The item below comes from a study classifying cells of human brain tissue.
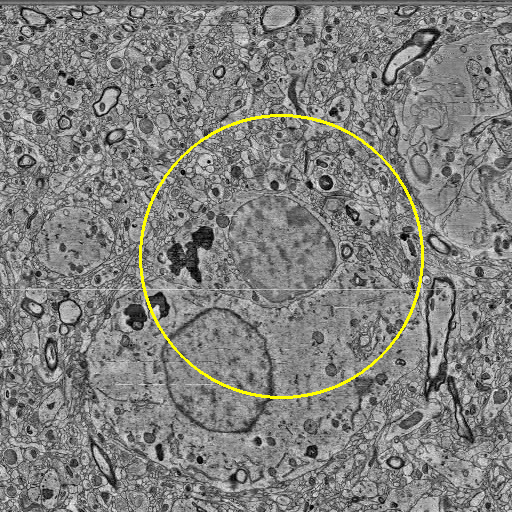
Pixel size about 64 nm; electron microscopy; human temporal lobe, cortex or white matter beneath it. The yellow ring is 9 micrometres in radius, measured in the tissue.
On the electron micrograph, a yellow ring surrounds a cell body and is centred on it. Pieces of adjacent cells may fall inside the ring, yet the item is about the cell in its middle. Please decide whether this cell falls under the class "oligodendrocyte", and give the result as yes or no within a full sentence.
Yes, the cell at the middle of the ring on the micrograph belongs in that class.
